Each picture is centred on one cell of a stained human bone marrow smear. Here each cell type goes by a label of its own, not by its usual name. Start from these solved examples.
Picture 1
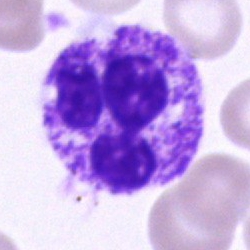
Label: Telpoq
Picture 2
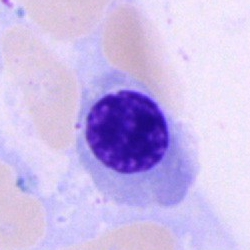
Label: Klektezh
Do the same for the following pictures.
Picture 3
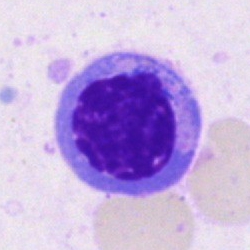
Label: Klektezh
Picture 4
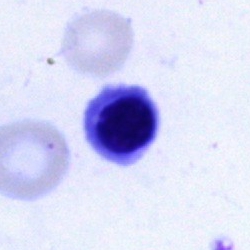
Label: Klektezh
